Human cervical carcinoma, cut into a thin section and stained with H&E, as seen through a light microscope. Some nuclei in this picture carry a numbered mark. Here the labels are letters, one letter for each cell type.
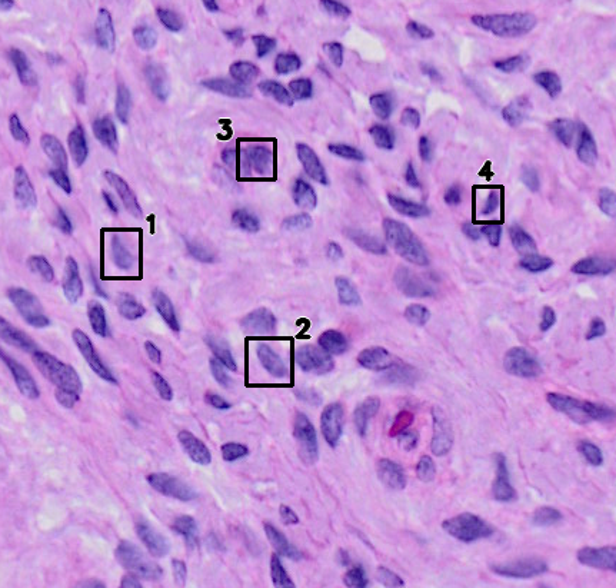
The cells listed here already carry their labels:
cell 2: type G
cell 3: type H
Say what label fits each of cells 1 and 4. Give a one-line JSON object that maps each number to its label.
{"1": "type G", "4": "type G"}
